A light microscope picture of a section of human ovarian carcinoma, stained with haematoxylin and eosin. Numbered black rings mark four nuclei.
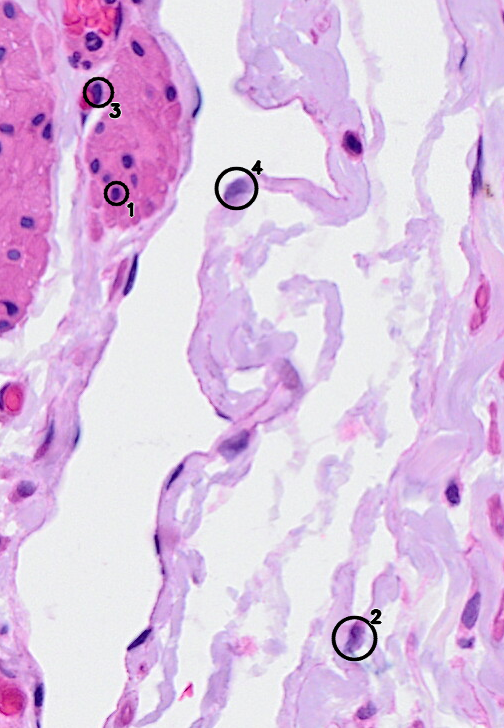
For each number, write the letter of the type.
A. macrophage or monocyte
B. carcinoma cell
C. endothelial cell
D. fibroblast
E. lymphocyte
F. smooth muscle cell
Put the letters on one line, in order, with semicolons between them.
F; D; C; C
